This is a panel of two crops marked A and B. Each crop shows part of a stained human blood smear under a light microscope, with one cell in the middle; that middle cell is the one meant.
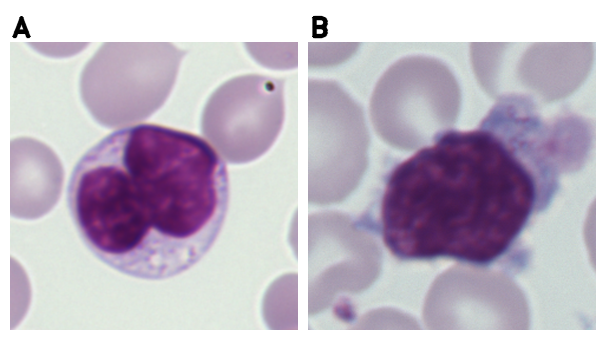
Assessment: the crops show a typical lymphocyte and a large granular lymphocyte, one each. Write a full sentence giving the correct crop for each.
The designated cell in crop A is a large granular lymphocyte, and the designated cell in crop B is a typical lymphocyte.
